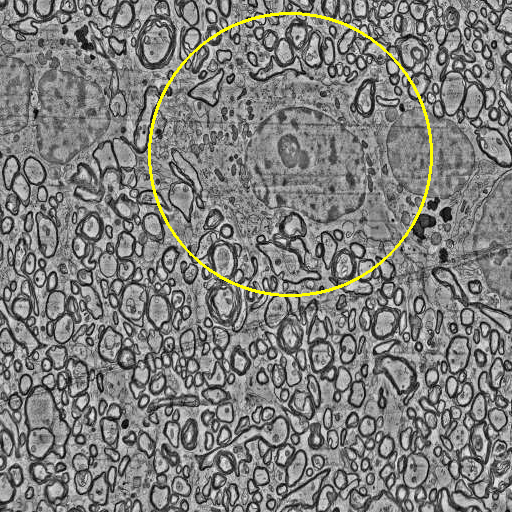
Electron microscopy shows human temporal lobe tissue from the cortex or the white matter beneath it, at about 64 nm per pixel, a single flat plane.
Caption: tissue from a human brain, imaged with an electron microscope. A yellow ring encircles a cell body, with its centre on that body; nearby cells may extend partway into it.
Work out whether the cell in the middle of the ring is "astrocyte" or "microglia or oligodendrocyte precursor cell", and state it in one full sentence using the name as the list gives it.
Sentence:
In the picture, the cell that the yellow ring surrounds at its centre is an astrocyte.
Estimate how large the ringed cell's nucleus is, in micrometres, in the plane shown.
In this plane the nucleus spans approximately 8 by 7 micrometers.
